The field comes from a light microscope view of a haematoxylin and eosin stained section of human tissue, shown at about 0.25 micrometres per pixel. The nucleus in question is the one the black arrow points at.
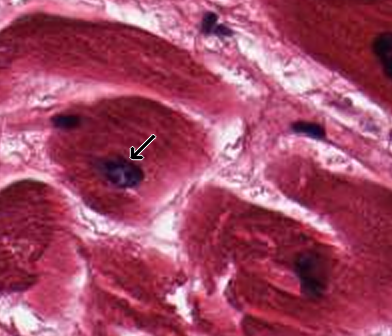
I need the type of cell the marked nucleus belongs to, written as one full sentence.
Located in a cardiomyocyte is the marked nucleus.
